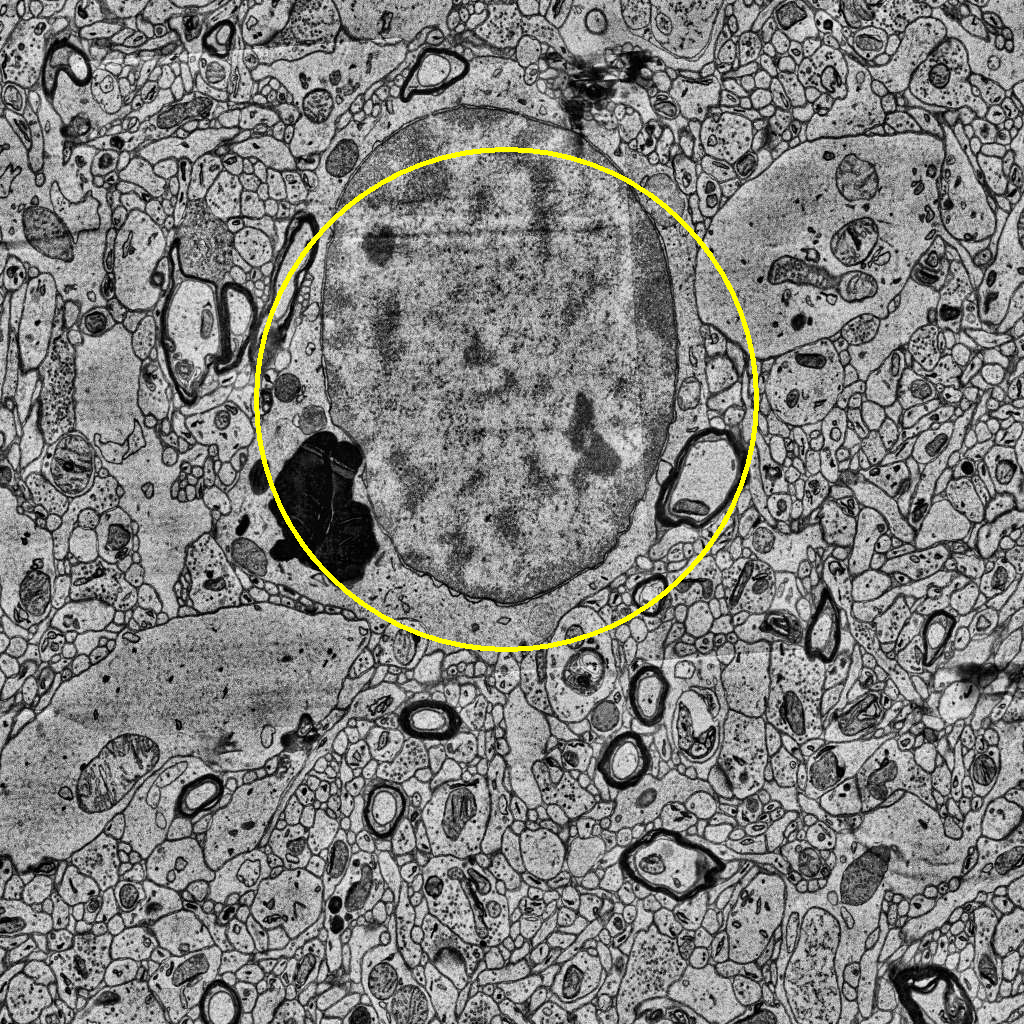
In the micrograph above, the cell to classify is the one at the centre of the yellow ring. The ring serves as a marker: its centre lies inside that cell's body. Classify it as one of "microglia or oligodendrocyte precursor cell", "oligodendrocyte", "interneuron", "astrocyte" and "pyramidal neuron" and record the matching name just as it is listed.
oligodendrocyte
